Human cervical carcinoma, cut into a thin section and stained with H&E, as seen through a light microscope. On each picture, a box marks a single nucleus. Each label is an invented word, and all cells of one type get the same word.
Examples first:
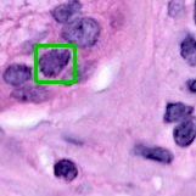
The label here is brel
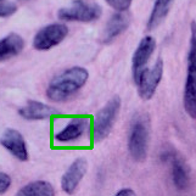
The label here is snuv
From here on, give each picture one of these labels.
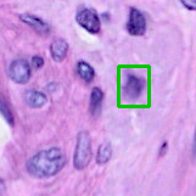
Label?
snuv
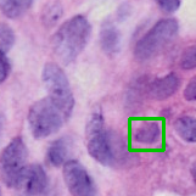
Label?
brel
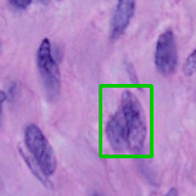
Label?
snuv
